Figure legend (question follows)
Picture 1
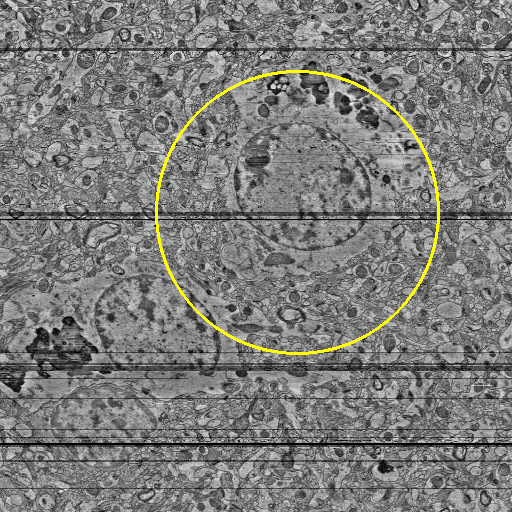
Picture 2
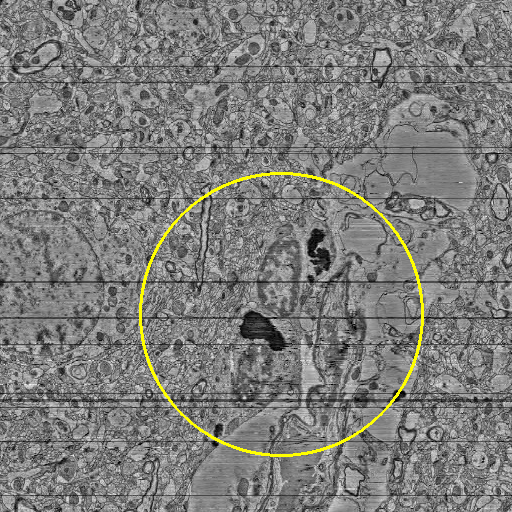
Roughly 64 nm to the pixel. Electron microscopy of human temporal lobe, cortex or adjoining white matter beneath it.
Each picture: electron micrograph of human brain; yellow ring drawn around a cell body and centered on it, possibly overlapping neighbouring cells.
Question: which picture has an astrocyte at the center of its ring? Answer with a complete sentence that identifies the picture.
Picture 1 has it at the center of its ring.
